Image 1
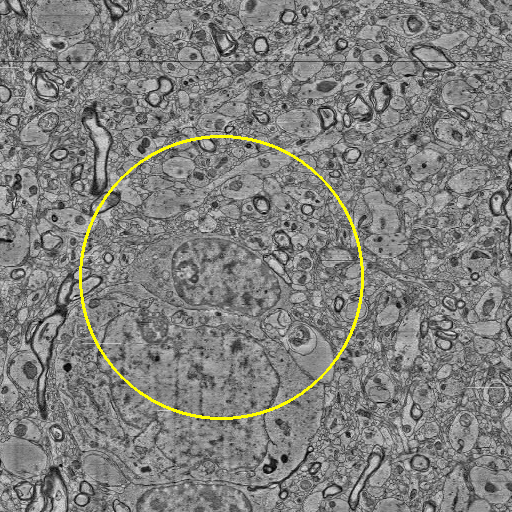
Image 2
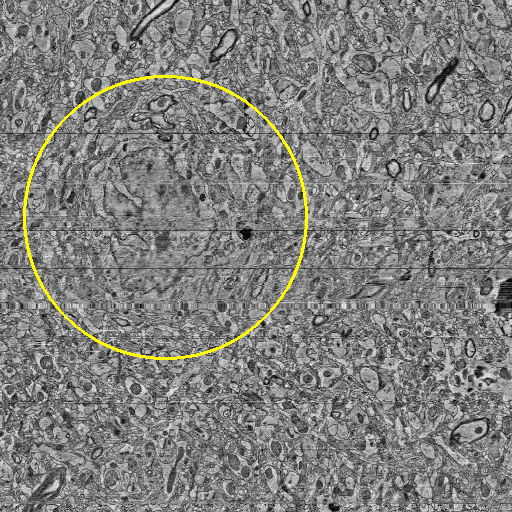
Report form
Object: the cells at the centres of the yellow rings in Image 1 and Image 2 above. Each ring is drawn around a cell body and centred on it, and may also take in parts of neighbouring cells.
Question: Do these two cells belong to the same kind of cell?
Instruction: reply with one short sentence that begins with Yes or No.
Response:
No, they belong to two kinds of cell.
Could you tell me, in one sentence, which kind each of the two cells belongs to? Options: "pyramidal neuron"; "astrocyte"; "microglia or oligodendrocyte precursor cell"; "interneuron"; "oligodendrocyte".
At the centre of the first ring sits an oligodendrocyte, and at the centre of the second sits an interneuron.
